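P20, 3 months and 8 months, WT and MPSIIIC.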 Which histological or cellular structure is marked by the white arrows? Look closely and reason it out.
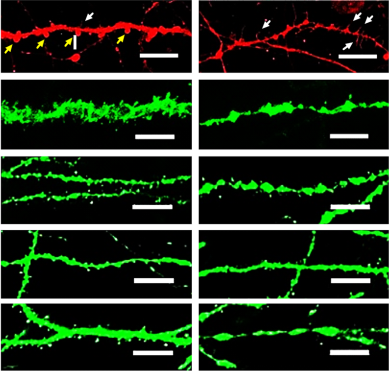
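The white arrows point to thin, headless protrusions from the red dendrites. So: immature spines (filopodia)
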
